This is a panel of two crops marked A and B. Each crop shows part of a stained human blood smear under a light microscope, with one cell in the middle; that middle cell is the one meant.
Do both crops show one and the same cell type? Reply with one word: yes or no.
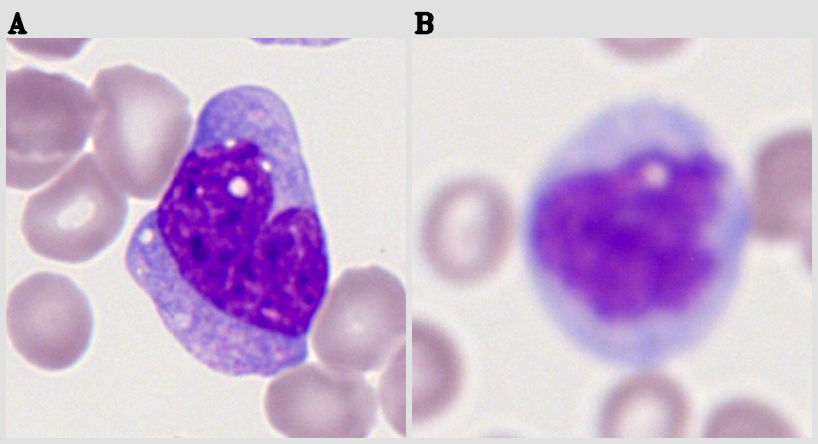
yes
